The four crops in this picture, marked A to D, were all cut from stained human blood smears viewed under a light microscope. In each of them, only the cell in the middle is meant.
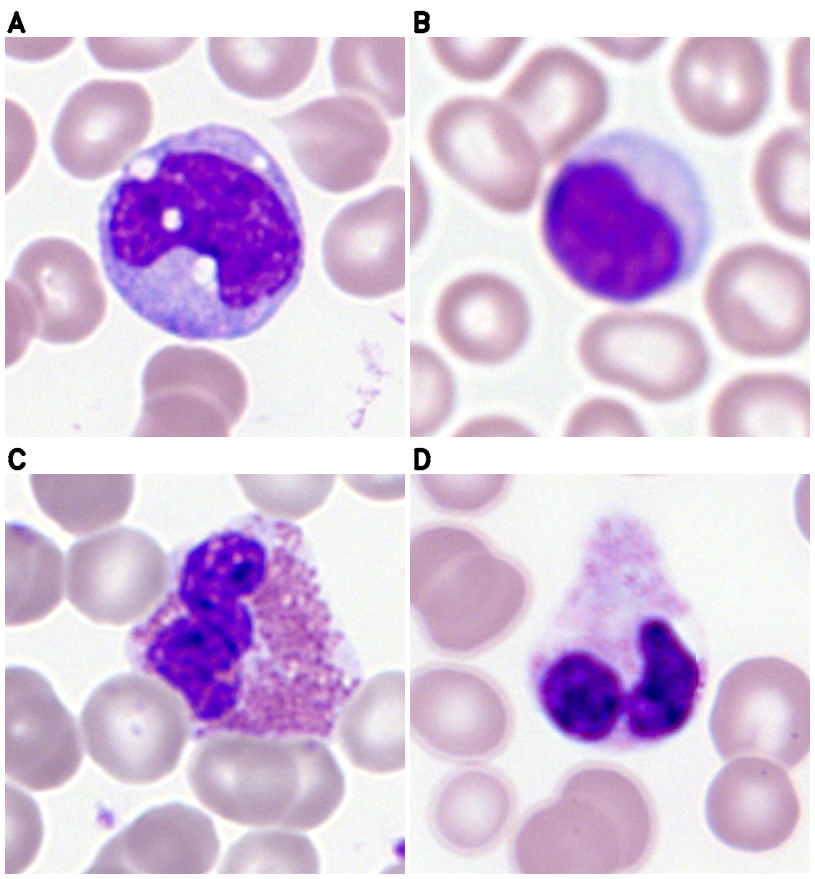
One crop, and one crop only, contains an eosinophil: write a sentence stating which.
Among the crops provided, an eosinophil occupies the center of crop C.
